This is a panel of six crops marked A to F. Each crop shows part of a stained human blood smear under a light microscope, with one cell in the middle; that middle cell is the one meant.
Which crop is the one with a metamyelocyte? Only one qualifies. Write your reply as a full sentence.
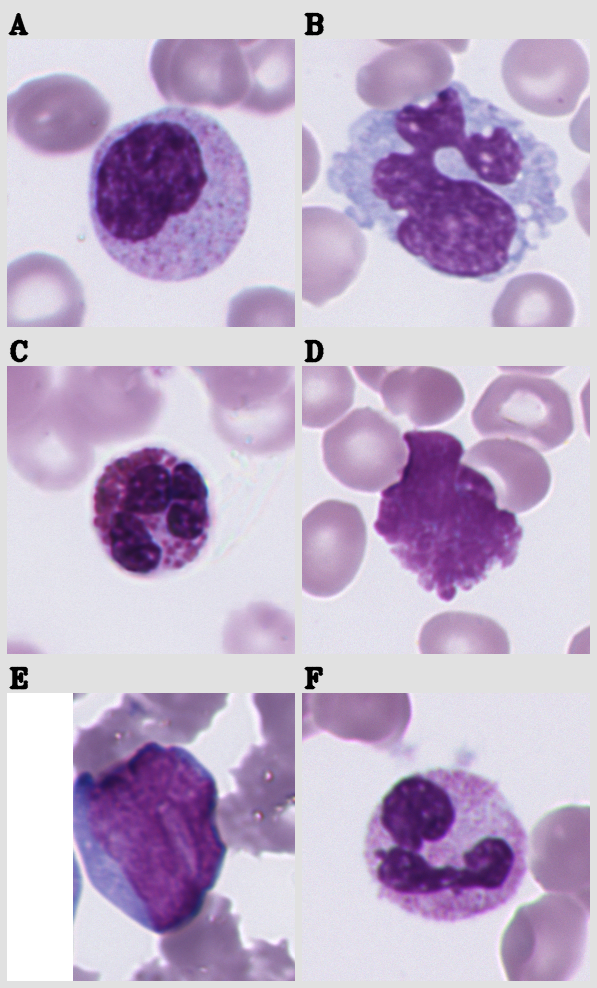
Crop A is the one in this set that shows a metamyelocyte.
